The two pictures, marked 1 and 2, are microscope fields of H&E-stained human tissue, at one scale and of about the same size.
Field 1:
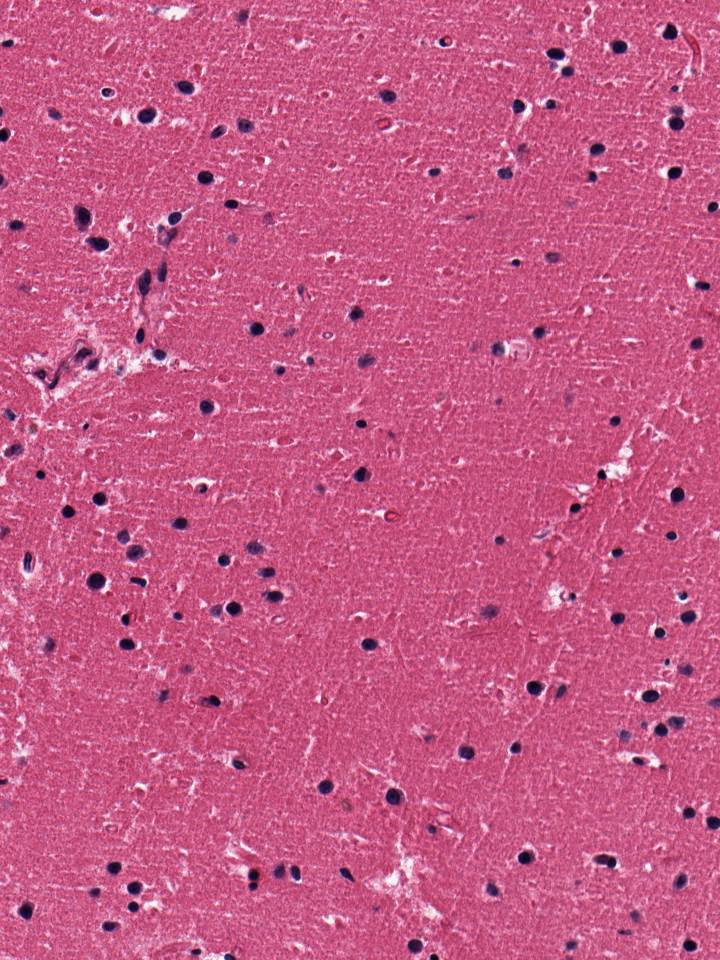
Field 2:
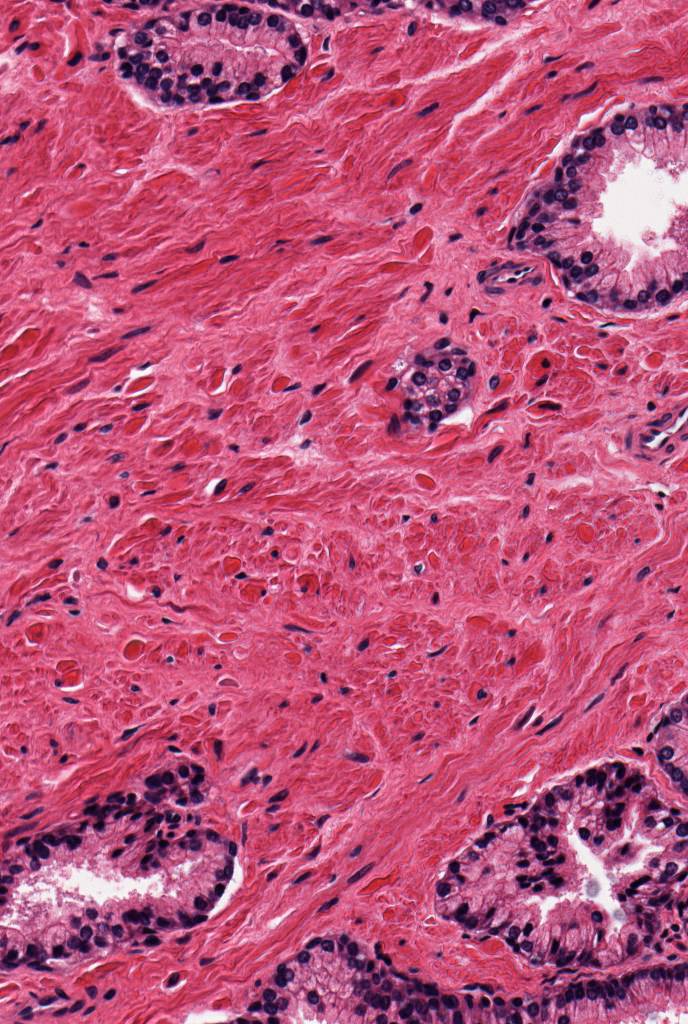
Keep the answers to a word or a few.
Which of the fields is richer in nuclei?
2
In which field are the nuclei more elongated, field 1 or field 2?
2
